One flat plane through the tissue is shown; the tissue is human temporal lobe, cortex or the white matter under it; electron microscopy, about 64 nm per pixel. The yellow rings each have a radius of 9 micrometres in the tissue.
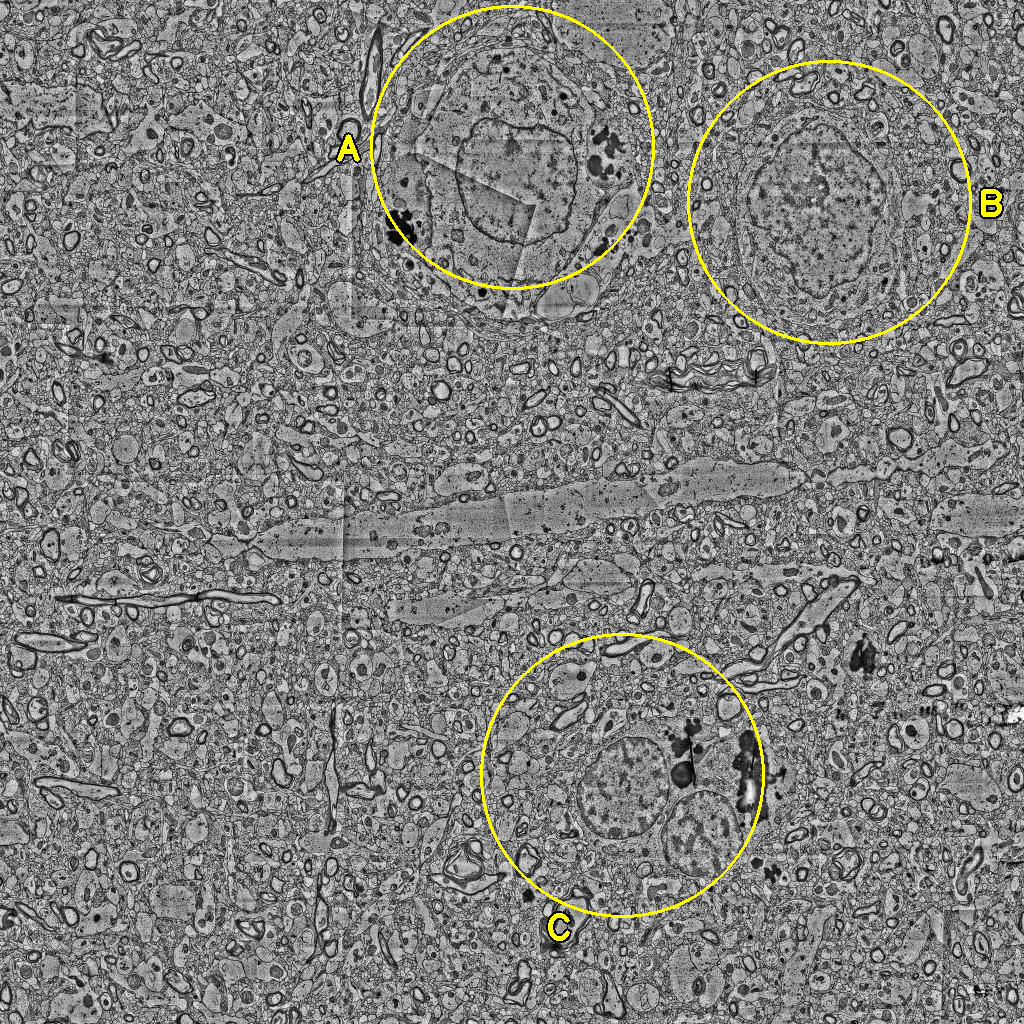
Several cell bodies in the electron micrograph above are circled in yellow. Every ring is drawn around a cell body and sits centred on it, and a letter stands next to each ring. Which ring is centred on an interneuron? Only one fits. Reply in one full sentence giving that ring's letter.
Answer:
The ring centred on the cell asked for is Ring B.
